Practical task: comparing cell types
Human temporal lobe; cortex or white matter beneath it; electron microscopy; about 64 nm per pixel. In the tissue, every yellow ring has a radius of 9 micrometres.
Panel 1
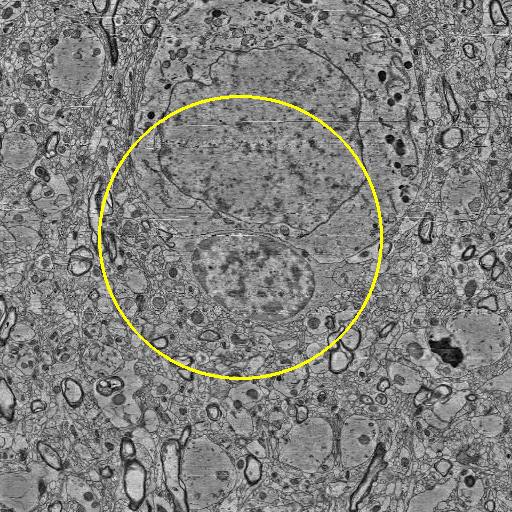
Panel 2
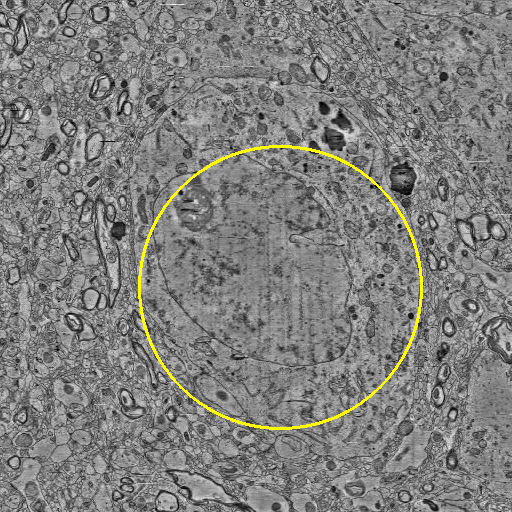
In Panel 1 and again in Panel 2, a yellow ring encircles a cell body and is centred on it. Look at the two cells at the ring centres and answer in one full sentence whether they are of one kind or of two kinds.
The two cells sitting at the ring centres of Panels 1 and 2 are of two kinds.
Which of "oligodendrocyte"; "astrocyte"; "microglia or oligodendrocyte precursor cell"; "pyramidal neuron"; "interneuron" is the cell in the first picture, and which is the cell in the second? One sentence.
The two differ: the first cell is an oligodendrocyte and the second is a pyramidal neuron.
